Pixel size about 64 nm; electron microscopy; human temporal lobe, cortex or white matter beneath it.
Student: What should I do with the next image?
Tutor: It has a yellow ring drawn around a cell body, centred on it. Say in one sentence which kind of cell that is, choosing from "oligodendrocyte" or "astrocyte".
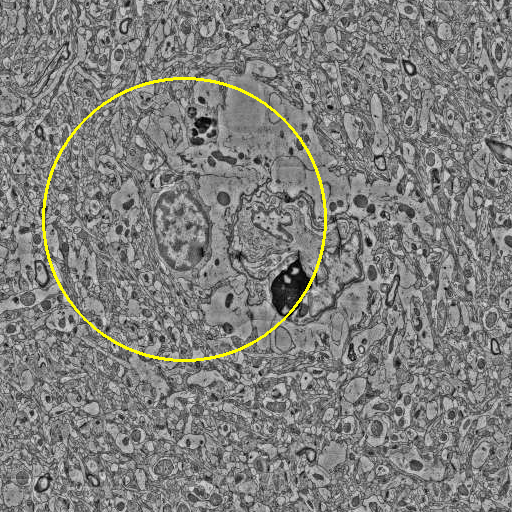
The ring's centre is occupied by an oligodendrocyte.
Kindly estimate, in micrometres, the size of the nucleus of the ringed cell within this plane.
The ringed cell's nucleus is about 5 micrometres long and 4 micrometres wide in this plane.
